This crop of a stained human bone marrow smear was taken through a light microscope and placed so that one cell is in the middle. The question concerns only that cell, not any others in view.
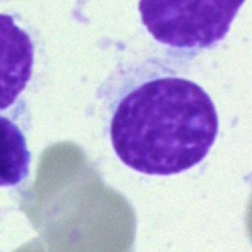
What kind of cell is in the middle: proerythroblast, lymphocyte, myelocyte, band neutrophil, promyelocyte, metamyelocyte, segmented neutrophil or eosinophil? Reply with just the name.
lymphocyte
